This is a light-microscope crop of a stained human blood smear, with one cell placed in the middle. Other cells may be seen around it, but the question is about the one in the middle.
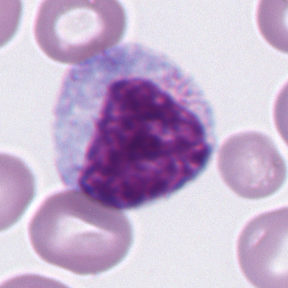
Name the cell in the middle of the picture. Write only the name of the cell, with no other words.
myelocyte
